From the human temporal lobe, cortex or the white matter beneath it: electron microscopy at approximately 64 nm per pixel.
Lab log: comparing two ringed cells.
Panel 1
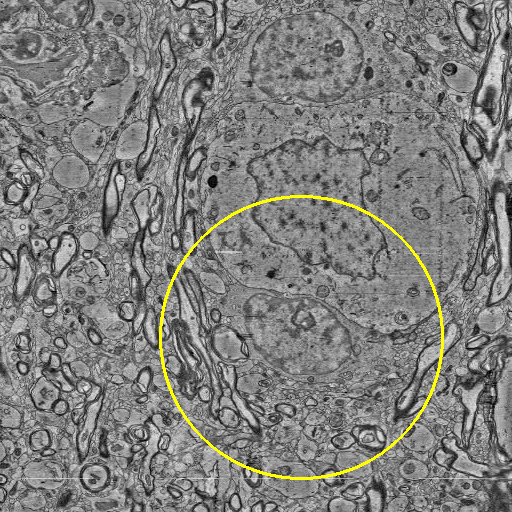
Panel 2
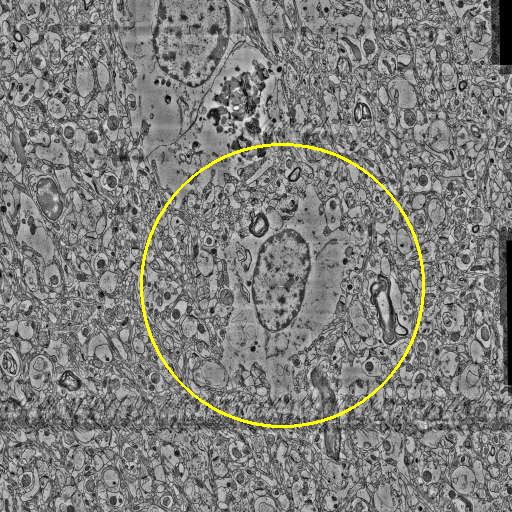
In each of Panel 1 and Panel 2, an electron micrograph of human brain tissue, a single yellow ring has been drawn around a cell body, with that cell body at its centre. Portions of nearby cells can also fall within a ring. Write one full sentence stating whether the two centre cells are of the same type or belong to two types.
The cells at the ring centres in Panel 1 and Panel 2 belong to two types.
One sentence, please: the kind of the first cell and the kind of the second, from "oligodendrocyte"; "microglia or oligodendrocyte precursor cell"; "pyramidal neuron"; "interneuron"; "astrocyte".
The ring in the first picture surrounds an oligodendrocyte, and the ring in the second surrounds an astrocyte.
